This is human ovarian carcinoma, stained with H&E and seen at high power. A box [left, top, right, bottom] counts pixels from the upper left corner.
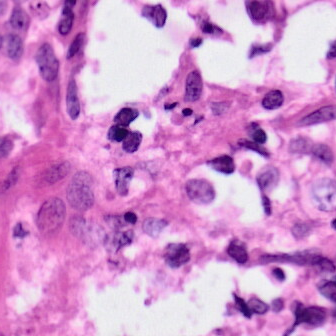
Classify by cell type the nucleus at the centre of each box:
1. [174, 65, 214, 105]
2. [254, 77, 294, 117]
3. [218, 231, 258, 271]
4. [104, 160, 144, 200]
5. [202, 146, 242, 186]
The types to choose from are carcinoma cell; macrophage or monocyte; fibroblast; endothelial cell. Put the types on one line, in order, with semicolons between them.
macrophage or monocyte; macrophage or monocyte; carcinoma cell; macrophage or monocyte; carcinoma cell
